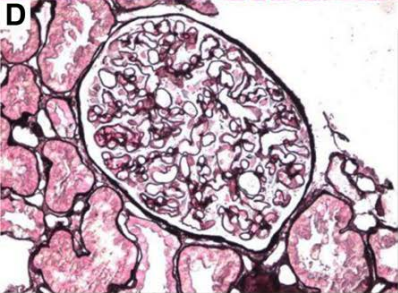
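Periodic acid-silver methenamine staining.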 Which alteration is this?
Diffuse thickening of glomerular capillary walls.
